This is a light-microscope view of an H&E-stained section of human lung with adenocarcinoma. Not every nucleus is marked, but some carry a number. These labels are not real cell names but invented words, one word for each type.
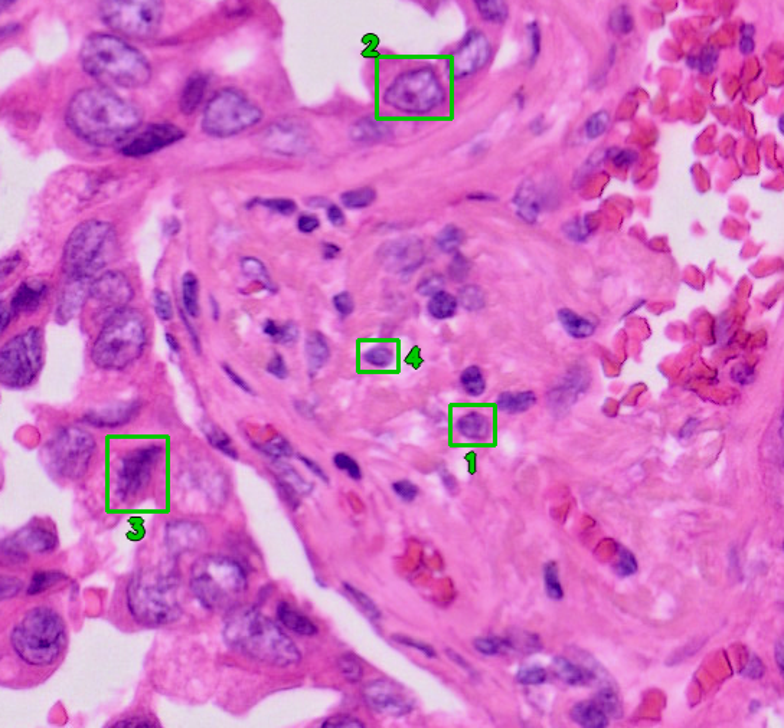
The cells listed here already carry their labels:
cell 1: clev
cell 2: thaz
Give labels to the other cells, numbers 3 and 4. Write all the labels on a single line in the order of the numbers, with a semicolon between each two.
thaz; clev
